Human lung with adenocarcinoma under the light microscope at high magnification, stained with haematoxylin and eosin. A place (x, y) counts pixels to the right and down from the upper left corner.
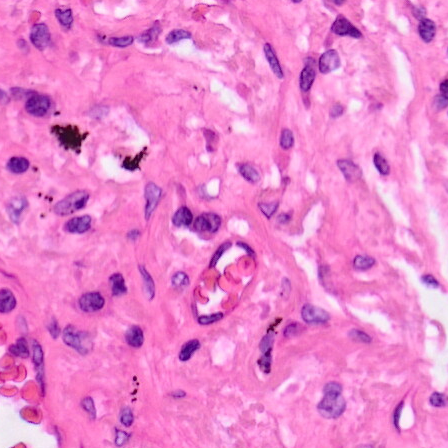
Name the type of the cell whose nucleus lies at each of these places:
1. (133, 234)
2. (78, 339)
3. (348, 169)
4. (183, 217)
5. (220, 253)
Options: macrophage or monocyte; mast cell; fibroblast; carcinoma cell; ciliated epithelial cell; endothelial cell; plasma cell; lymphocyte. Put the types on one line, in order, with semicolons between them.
mast cell; fibroblast; fibroblast; plasma cell; endothelial cell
